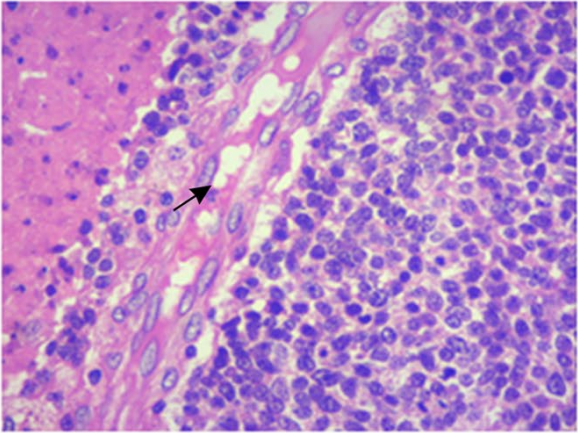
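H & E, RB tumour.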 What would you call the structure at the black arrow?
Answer: blood vessels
